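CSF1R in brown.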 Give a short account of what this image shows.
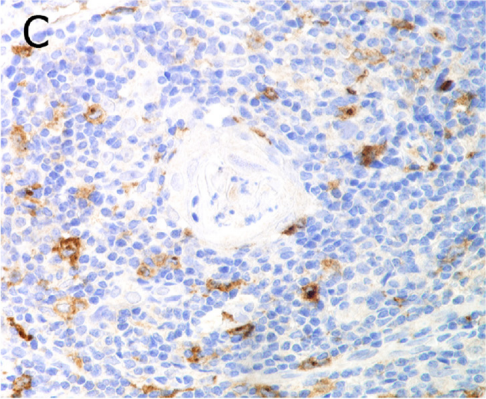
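Thymic medulla is shown, with a pale, concentrically layered corpuscle in the centre surrounded by lymphocytes and paler epithelial cells with blue nuclei. Scattered brown-stained macrophages with irregular, sometimes angular cytoplasm lie among these cells around the corpuscle.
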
